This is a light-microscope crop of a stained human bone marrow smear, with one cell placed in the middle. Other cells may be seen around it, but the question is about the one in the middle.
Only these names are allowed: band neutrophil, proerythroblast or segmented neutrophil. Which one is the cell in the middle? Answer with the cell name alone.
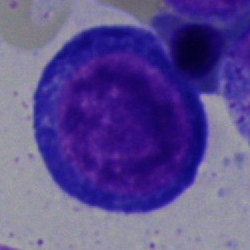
proerythroblast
